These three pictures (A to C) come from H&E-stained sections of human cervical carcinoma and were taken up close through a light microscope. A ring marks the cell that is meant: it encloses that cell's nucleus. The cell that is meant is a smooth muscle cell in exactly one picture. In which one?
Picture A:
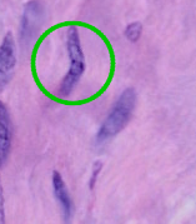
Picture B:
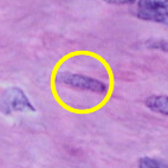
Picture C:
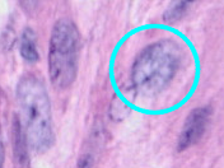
B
